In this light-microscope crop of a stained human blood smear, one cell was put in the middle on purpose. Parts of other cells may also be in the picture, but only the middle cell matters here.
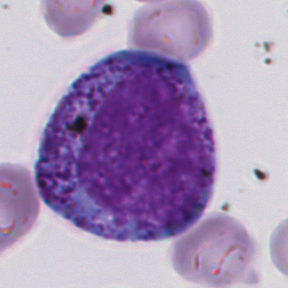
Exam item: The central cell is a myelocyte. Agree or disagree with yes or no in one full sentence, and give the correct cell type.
No, what is seen at the centre is a promyelocyte instead of a myelocyte.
